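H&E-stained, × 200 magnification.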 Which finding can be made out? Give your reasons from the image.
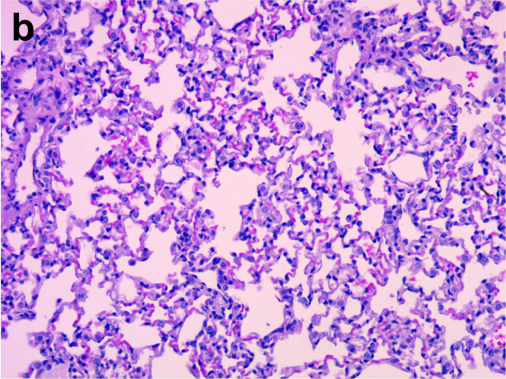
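The alveolar septa are thick and crowded with dark blue nuclei. On this evidence: alveolar wall thickening.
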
